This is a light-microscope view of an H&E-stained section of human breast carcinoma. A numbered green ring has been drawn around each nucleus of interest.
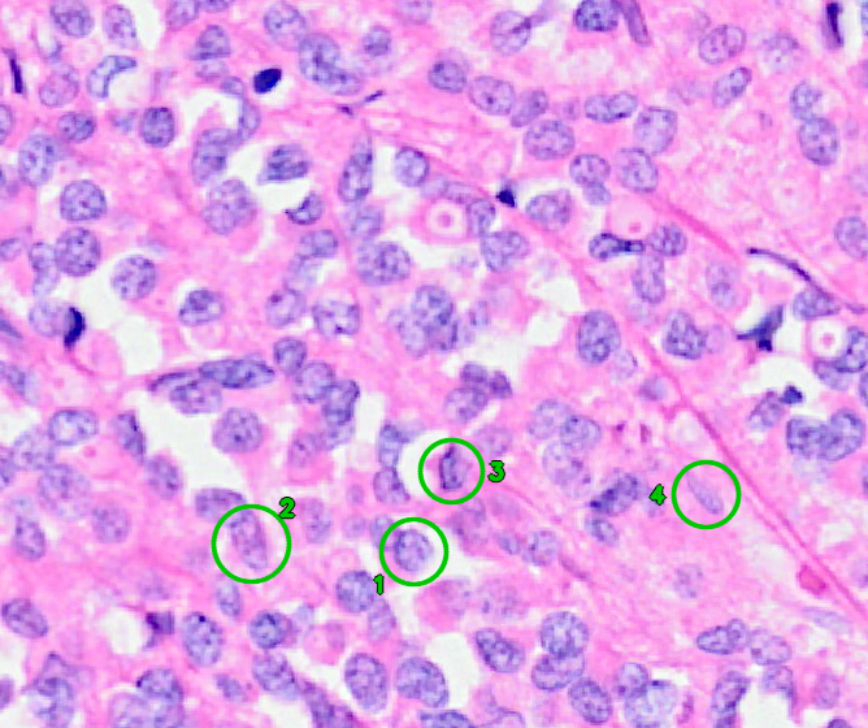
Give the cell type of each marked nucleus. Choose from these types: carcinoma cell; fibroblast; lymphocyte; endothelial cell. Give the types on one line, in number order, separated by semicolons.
carcinoma cell; carcinoma cell; carcinoma cell; endothelial cell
